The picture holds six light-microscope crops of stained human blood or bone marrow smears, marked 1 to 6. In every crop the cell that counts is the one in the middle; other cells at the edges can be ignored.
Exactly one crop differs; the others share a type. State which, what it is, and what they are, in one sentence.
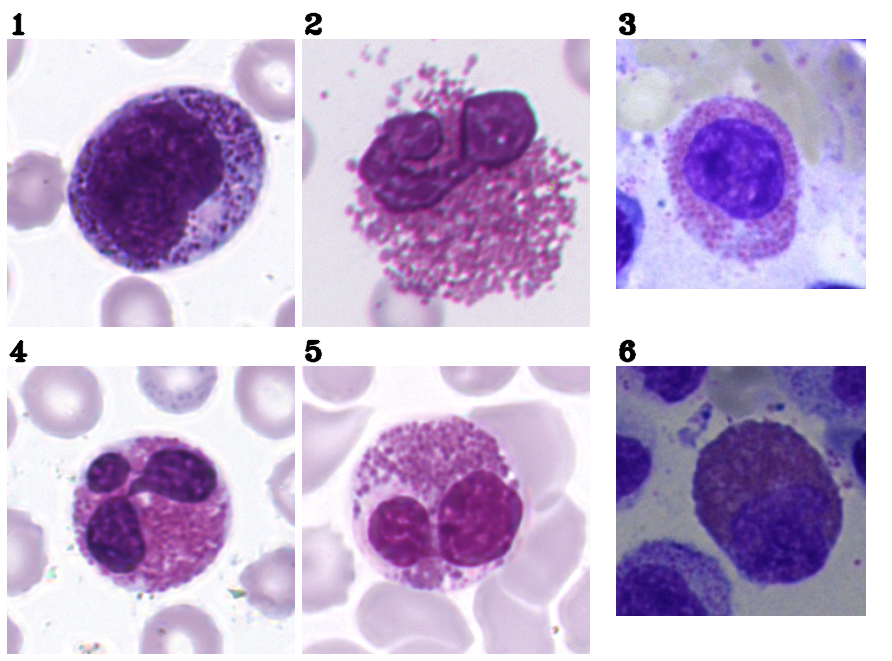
With the other crops all showing eosinophils, crop 1 differs by showing a promyelocyte.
